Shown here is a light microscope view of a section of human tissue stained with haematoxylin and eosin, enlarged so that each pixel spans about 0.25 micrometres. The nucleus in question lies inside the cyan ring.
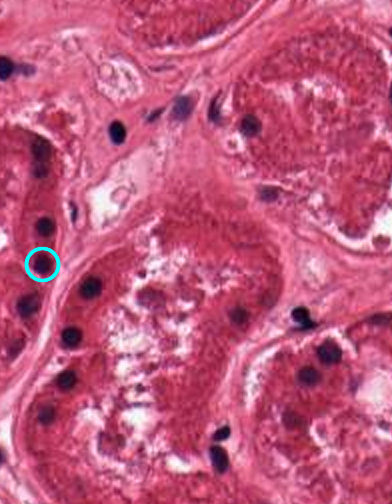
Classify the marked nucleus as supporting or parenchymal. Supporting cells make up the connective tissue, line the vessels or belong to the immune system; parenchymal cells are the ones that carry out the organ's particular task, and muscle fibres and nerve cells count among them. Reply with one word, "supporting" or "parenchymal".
parenchymal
